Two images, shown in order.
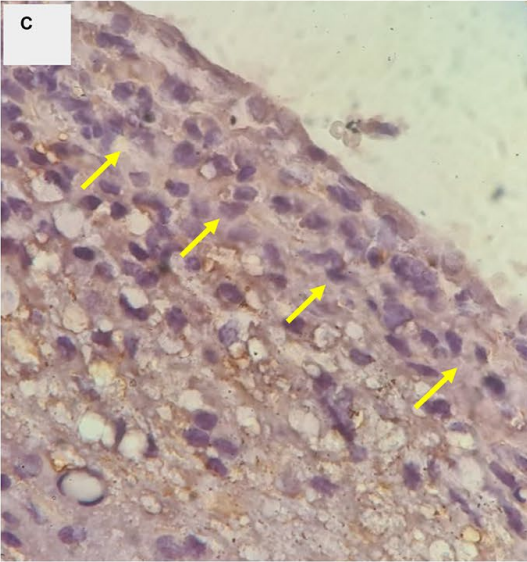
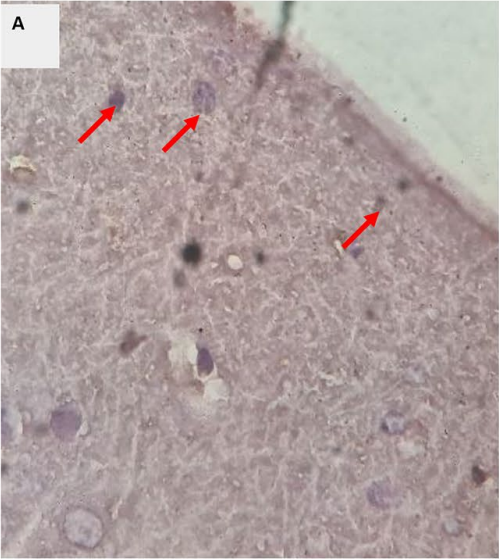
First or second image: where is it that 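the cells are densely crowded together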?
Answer: the first image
